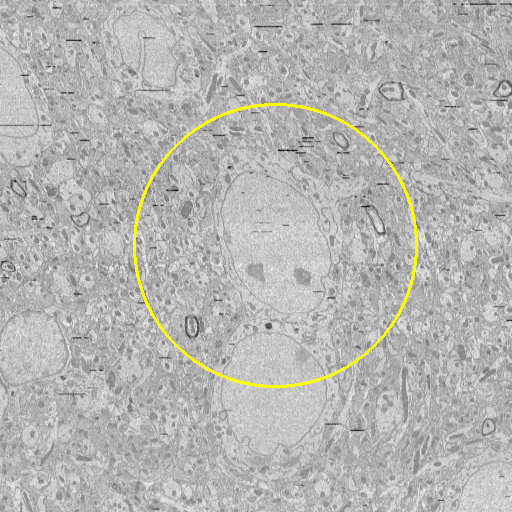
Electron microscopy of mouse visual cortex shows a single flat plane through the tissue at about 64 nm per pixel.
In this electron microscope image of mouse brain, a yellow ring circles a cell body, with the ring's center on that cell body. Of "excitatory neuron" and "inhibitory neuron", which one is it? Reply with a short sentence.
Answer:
It is an excitatory neuron at the center of the ring.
